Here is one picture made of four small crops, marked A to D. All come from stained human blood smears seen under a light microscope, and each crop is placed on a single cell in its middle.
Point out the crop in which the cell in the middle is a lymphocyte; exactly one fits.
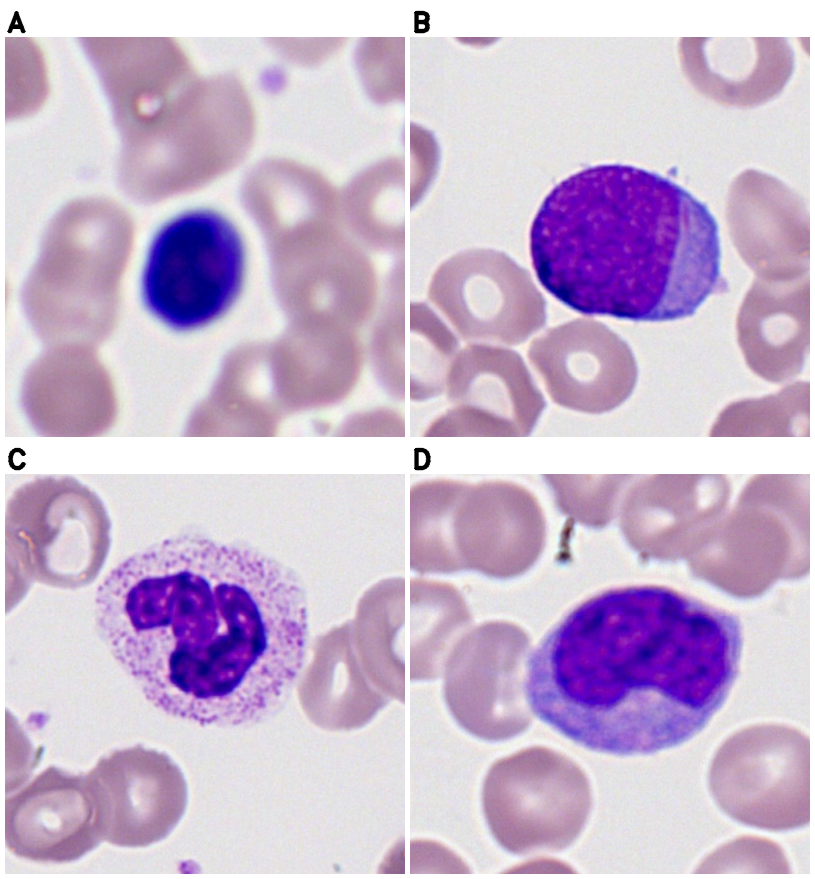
A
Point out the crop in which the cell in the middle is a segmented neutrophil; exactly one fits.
C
